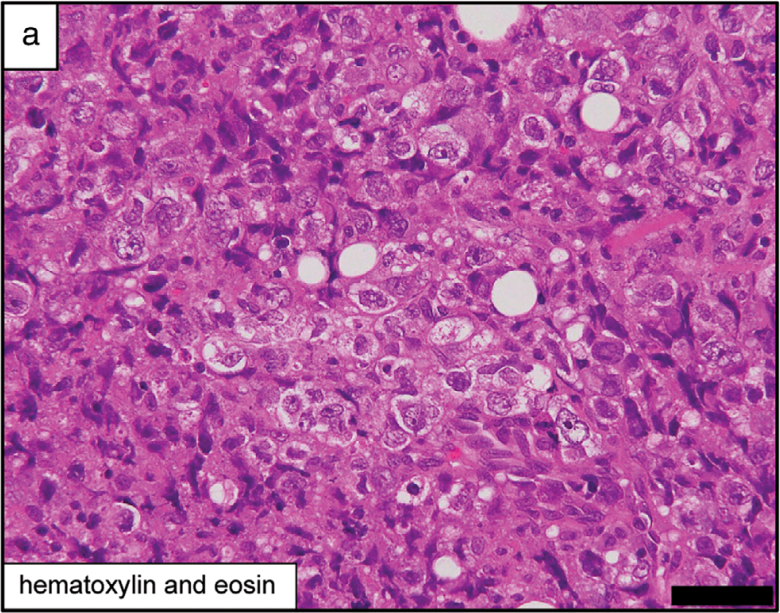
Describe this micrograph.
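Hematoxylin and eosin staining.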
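Sheets of large, loosely cohesive tumor cells fill the field, with no glandular or organized architecture. Their nuclei are big and vesicular, with open chromatin and conspicuous nucleoli, and the cytoplasm is abundant and pink. Some of the large cells hold more than one nucleus, and a few clear round vacuoles lie scattered among them. Between the tumor cells lie many small cells with dark, compact or elongated nuclei, consistent with infiltrating inflammatory cells.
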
